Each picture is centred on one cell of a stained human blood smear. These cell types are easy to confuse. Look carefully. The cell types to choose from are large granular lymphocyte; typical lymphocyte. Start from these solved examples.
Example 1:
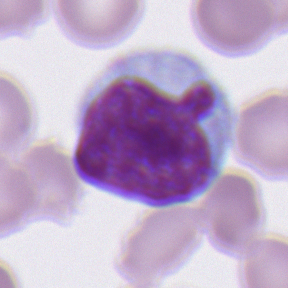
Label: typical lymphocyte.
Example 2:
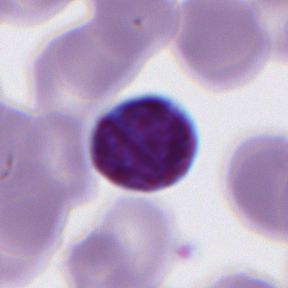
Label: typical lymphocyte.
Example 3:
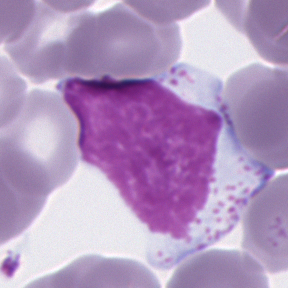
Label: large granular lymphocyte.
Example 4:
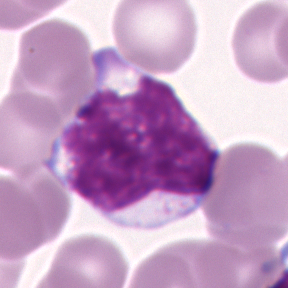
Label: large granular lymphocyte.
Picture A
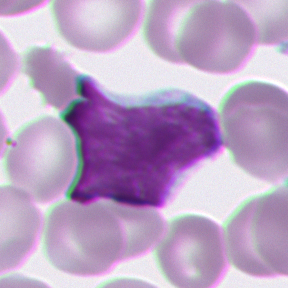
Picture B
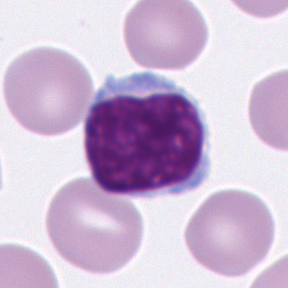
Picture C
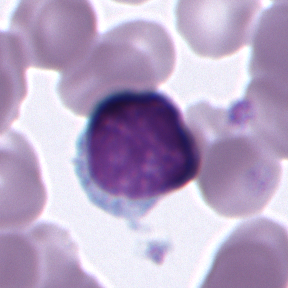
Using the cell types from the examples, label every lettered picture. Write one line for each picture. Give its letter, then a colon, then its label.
A: typical lymphocyte.
B: typical lymphocyte.
C: typical lymphocyte.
